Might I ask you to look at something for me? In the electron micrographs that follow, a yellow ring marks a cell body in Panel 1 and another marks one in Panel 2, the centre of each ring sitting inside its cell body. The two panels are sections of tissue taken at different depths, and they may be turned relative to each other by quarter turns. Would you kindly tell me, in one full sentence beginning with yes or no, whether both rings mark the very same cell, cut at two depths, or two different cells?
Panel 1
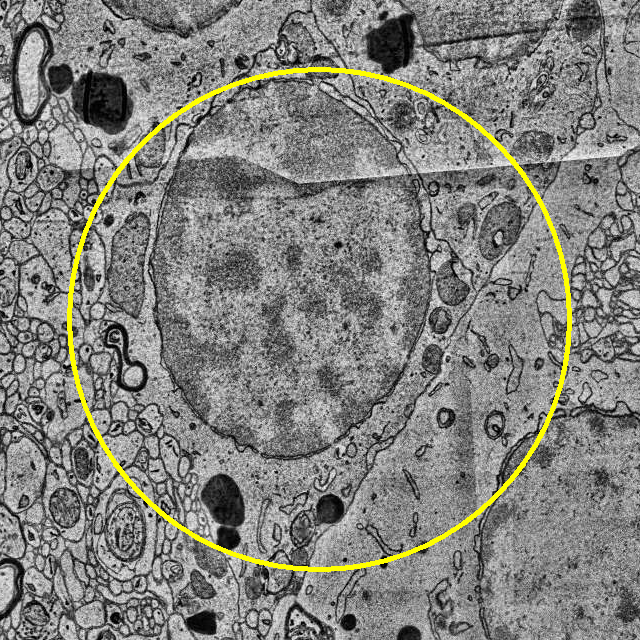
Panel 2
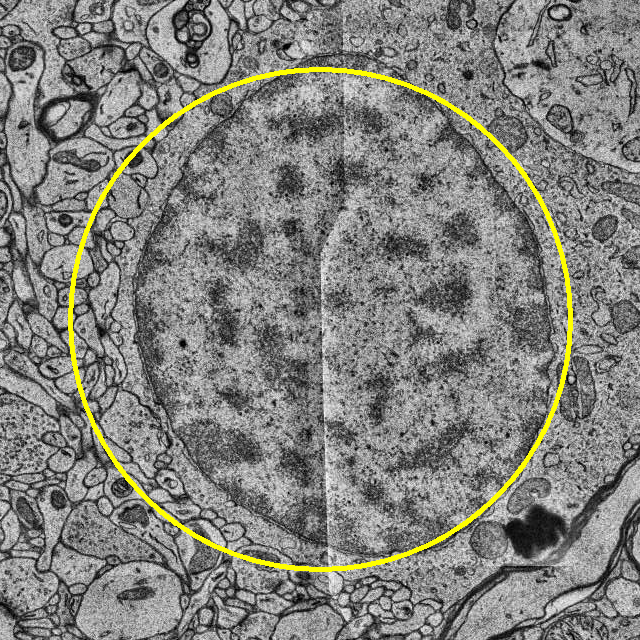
No, the two rings are drawn around two distinct cells.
